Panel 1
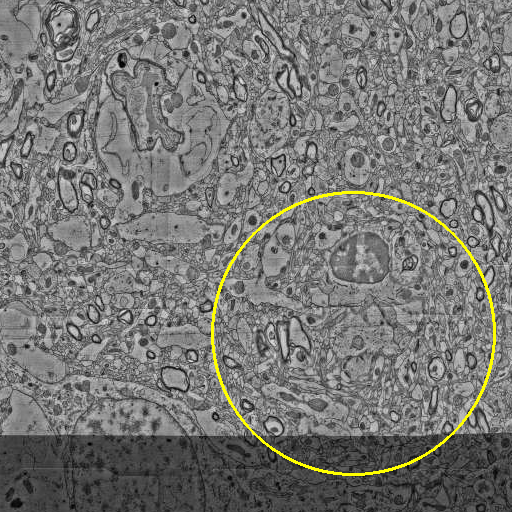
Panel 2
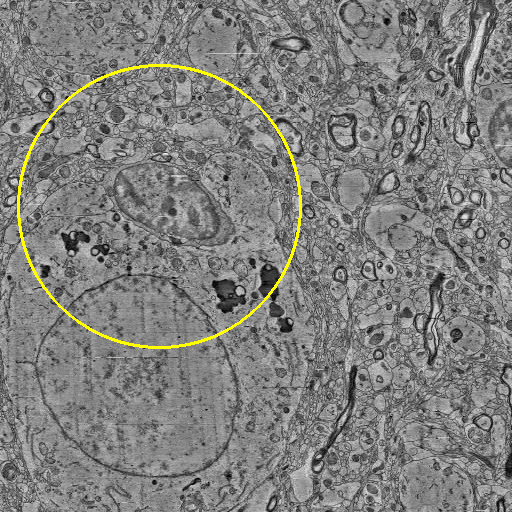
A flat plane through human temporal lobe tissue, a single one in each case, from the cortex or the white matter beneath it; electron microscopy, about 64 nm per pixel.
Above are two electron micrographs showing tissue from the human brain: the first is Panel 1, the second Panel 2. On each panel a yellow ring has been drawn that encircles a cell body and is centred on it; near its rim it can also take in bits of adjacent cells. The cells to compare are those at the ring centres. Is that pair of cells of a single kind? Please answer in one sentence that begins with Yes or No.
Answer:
No, the ring-centred cells of Panel 1 and Panel 2 belong to two kinds.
